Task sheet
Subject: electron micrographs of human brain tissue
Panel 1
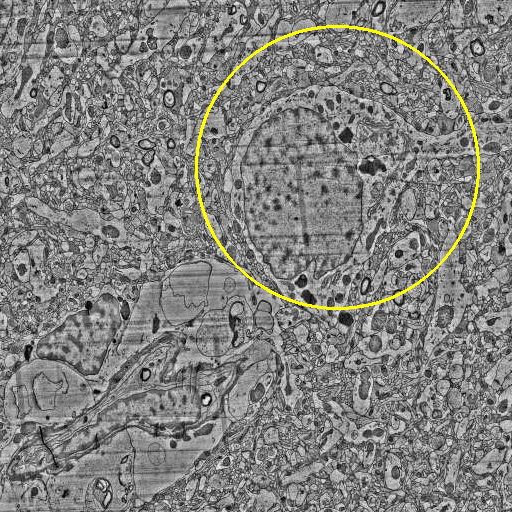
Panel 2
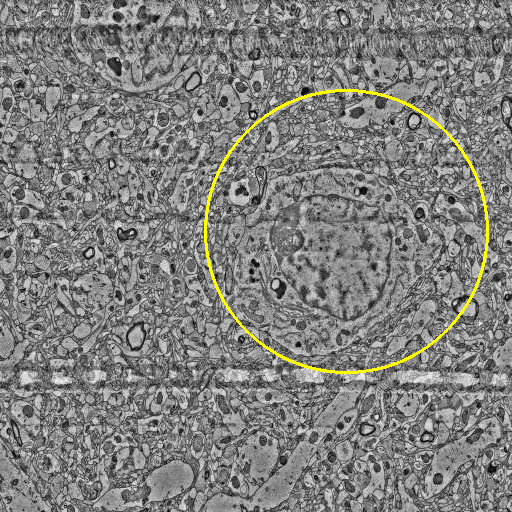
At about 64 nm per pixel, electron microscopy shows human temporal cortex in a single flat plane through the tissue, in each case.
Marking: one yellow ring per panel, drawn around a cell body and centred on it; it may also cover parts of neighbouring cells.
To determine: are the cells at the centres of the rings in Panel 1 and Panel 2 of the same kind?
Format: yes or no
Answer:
yes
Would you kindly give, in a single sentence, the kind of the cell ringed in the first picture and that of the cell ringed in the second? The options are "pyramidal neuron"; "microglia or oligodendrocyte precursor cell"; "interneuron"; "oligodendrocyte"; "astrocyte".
The cell at the ring centre is an interneuron in both pictures.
